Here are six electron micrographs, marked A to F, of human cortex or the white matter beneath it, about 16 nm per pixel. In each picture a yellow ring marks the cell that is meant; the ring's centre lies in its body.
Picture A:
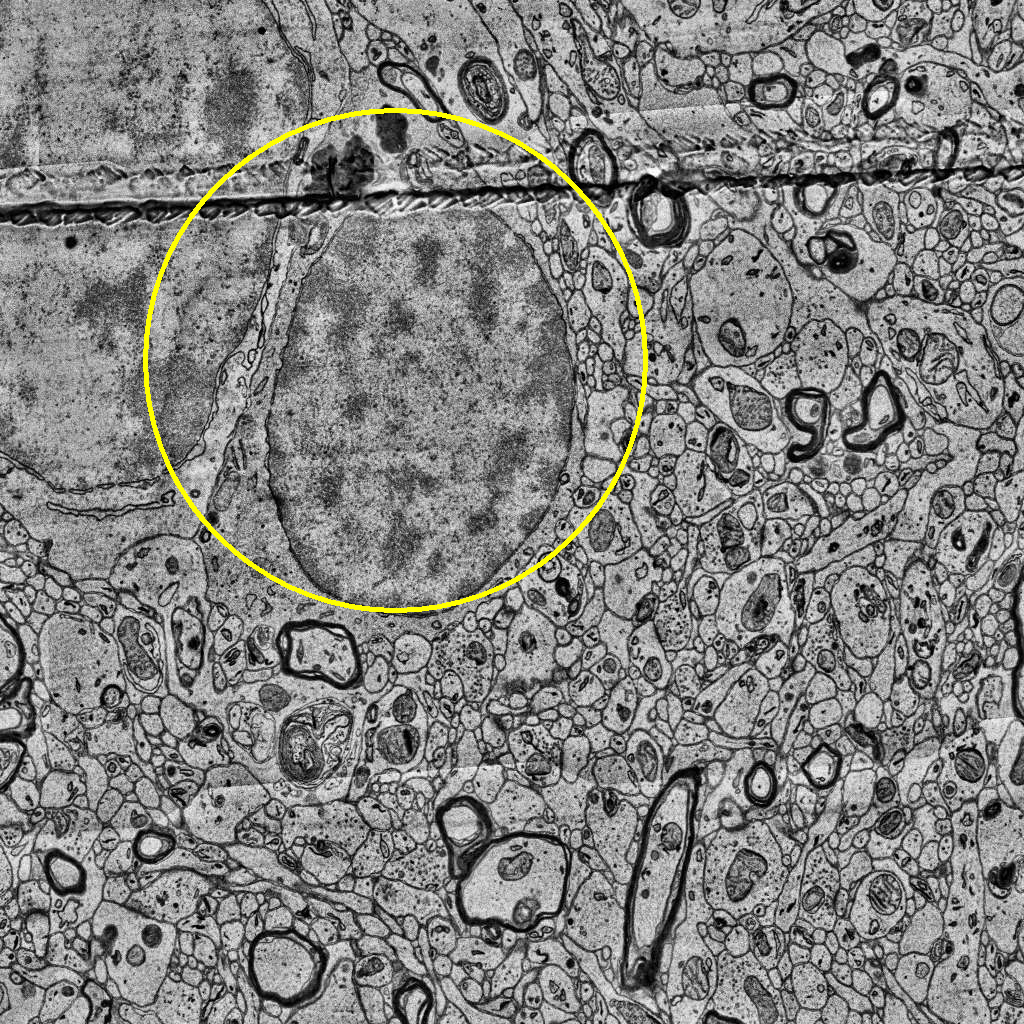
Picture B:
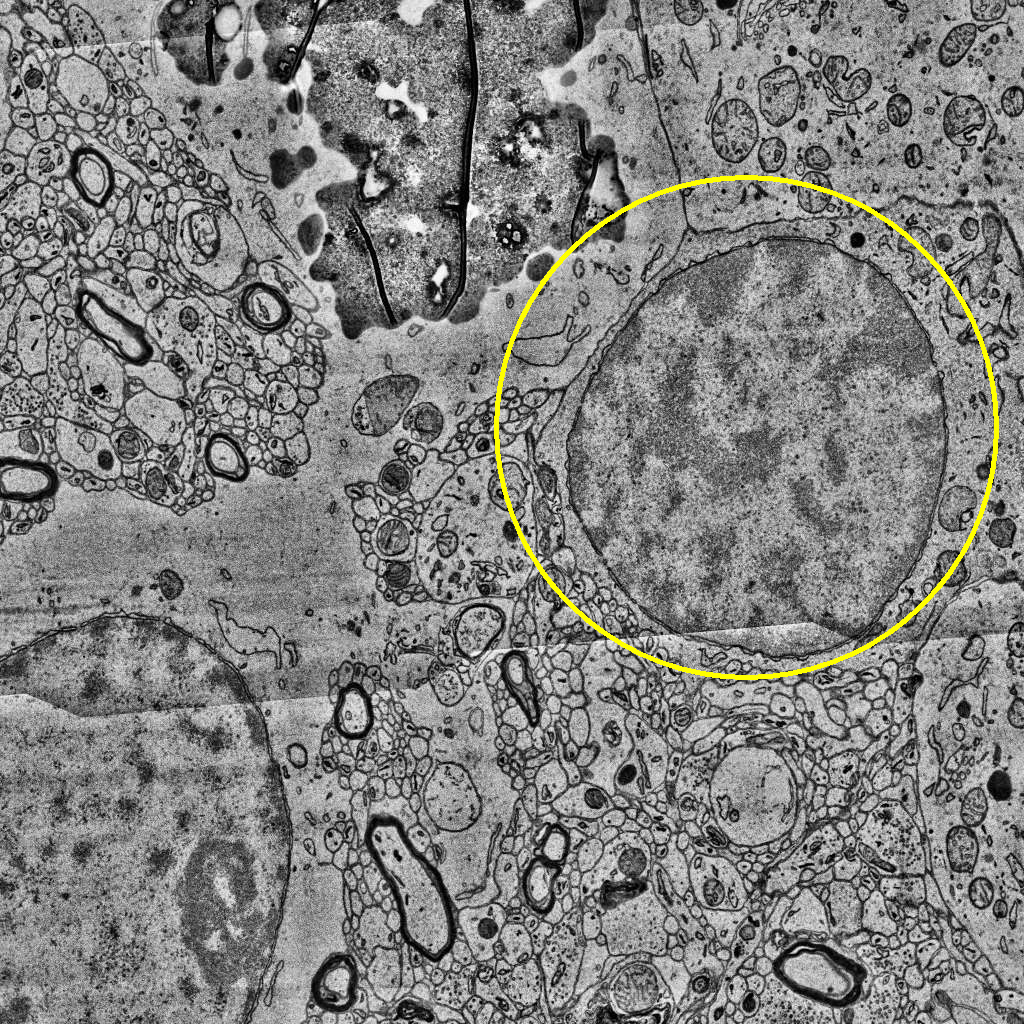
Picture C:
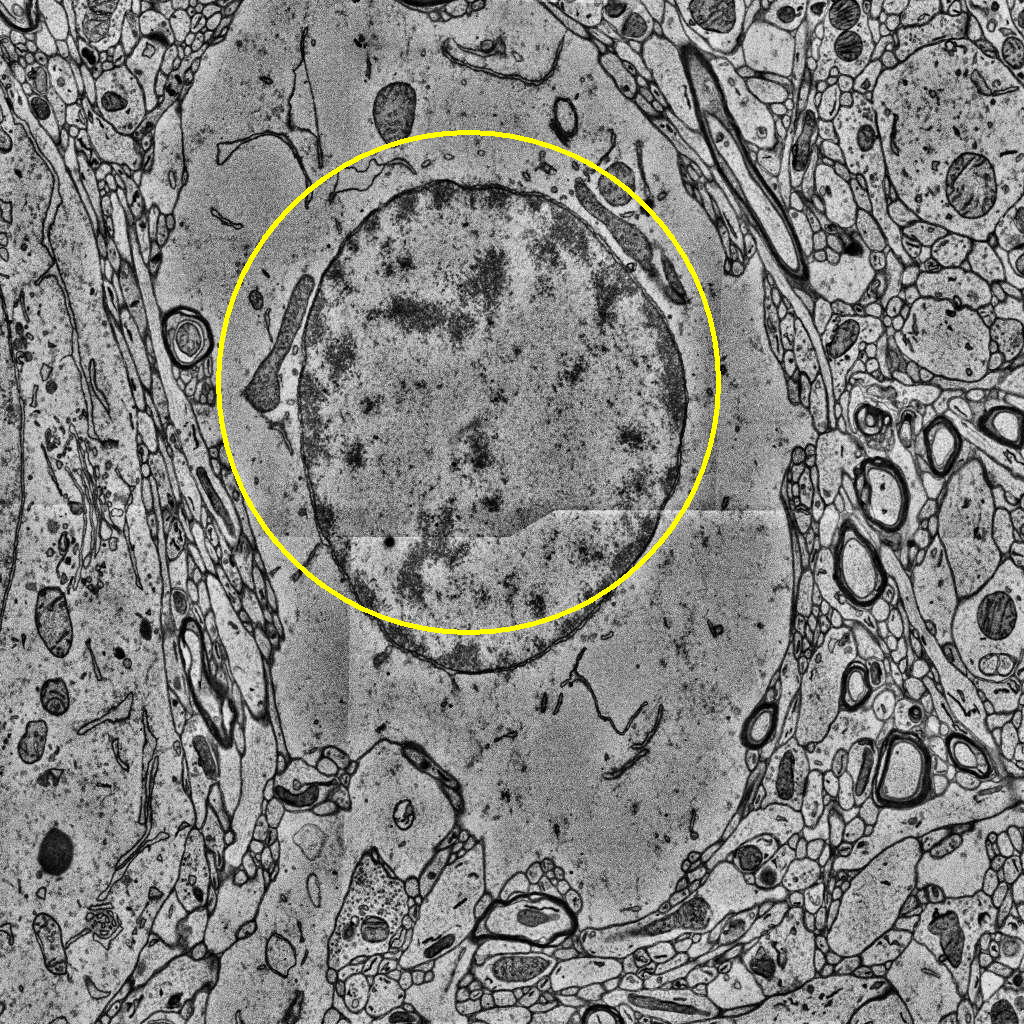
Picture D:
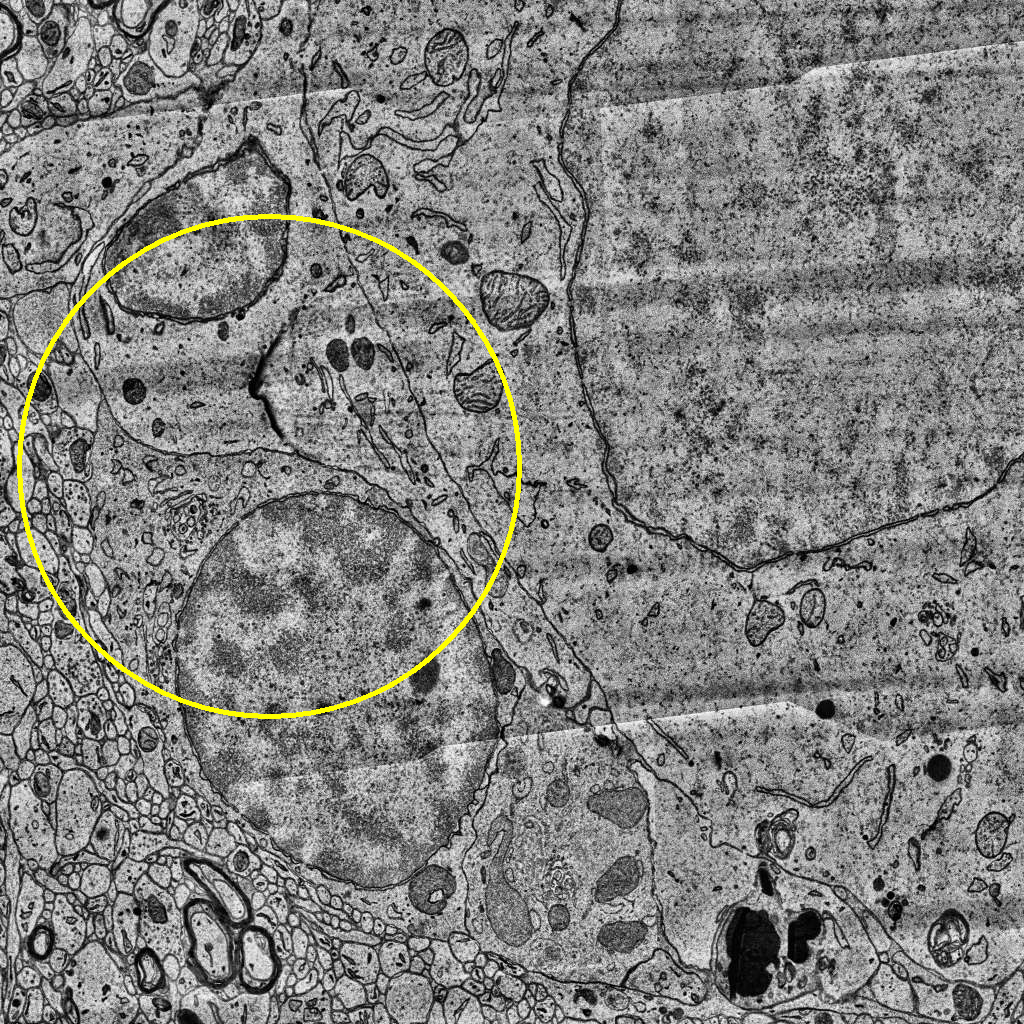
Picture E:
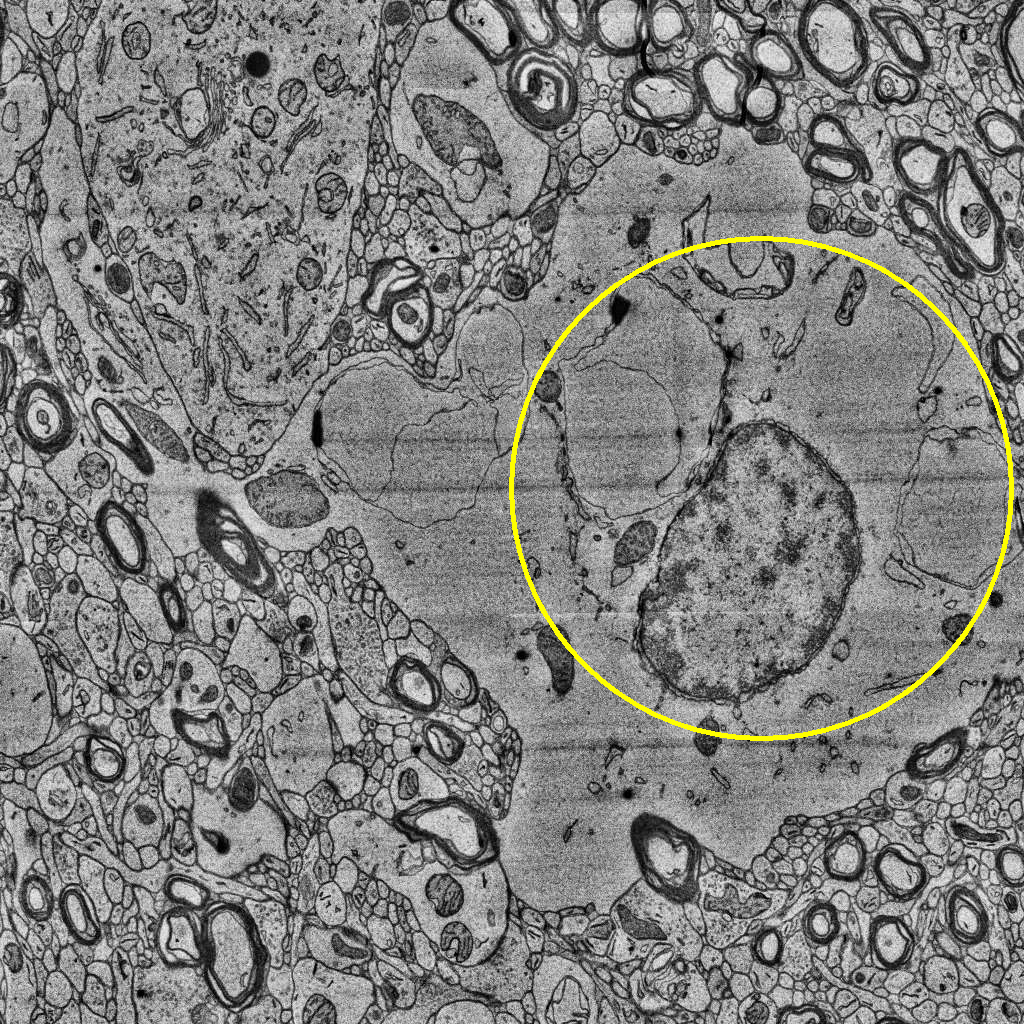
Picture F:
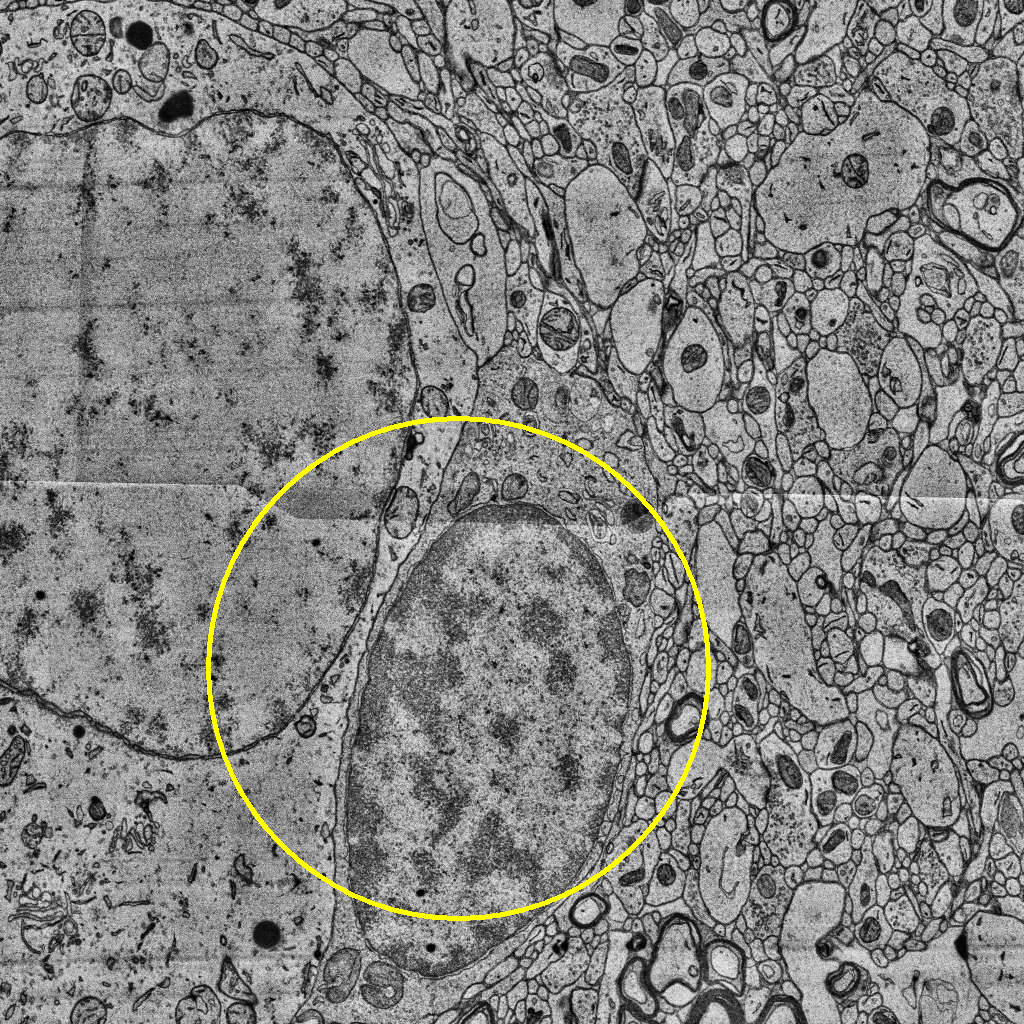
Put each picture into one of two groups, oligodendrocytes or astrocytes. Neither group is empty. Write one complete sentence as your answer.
Pictures A, B, D and F show oligodendrocytes, while pictures C and E show astrocytes.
